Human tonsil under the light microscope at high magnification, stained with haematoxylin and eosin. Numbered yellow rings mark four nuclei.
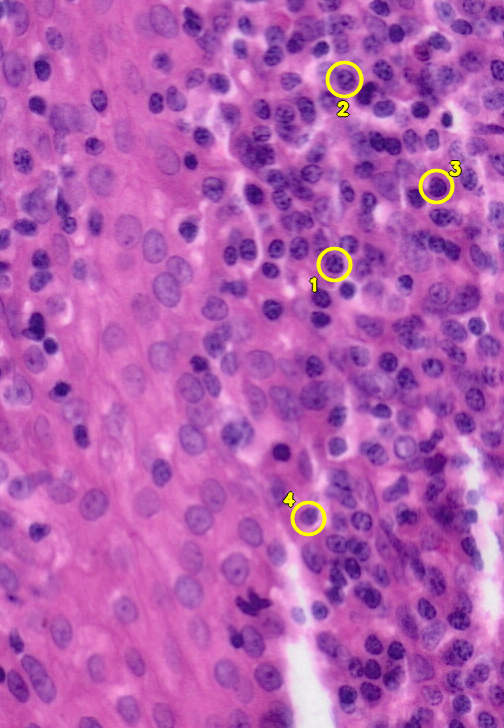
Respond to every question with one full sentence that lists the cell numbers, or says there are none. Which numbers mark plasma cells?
By cell type, the cells numbered 1, 2 and 3 are plasma cells.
